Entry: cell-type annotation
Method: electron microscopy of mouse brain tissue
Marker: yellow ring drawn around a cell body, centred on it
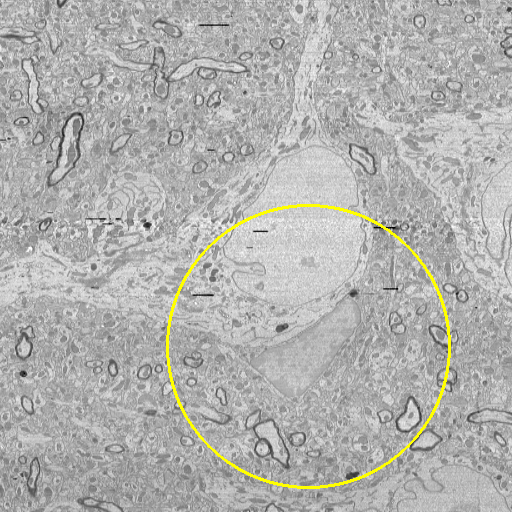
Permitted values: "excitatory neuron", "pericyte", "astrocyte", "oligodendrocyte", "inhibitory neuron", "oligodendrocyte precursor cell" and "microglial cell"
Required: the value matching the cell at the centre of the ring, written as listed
microglial cell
